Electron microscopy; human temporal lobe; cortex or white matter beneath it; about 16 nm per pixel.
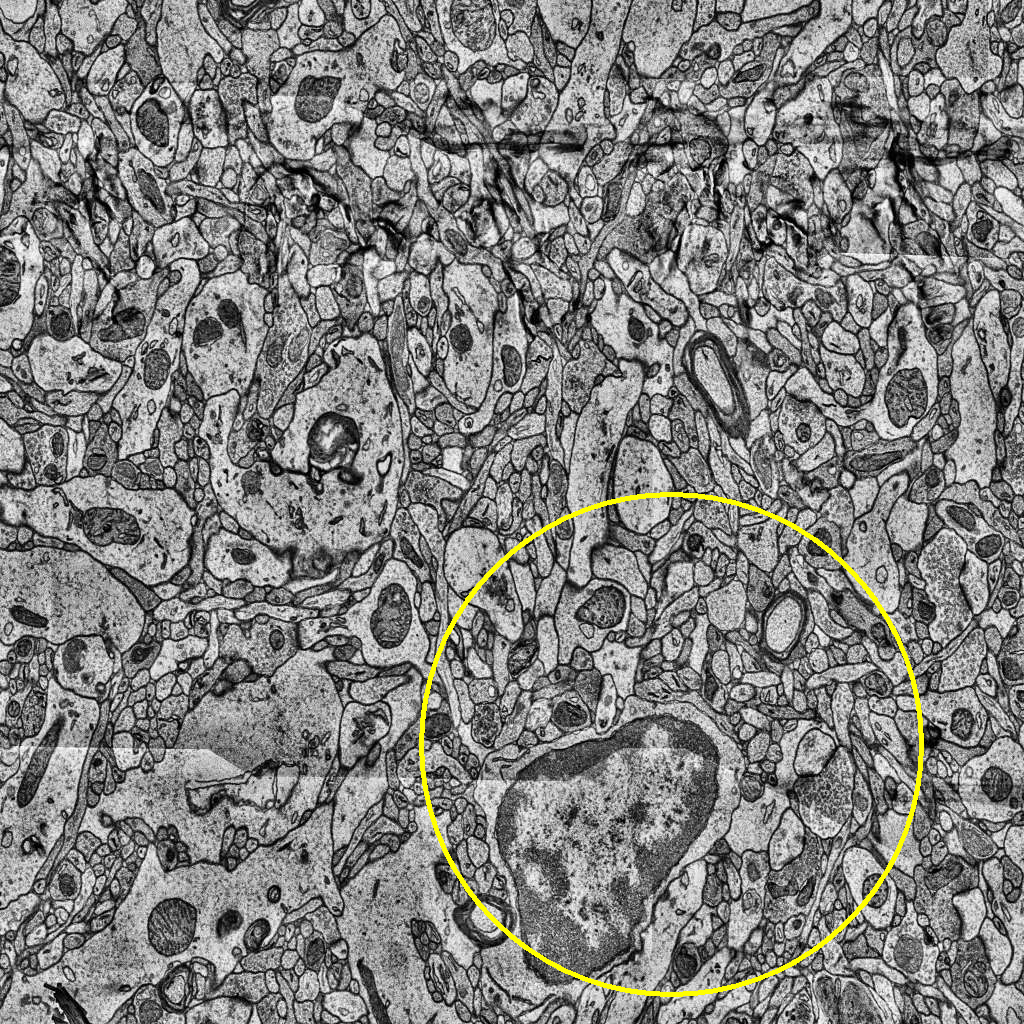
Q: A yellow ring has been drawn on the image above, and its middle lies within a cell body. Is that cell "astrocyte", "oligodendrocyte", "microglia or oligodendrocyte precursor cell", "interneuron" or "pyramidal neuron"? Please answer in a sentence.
The ring's middle lies in the cell body of a microglial cell or oligodendrocyte precursor cell.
